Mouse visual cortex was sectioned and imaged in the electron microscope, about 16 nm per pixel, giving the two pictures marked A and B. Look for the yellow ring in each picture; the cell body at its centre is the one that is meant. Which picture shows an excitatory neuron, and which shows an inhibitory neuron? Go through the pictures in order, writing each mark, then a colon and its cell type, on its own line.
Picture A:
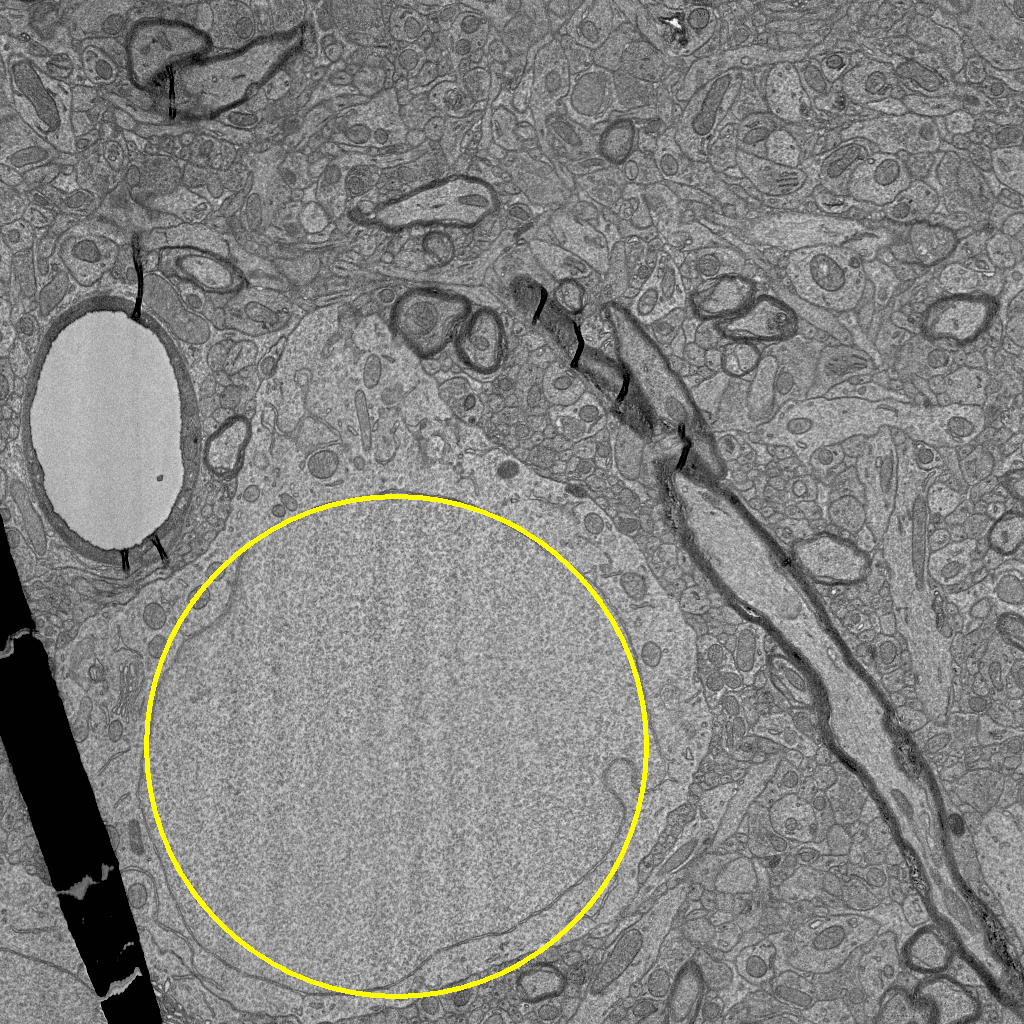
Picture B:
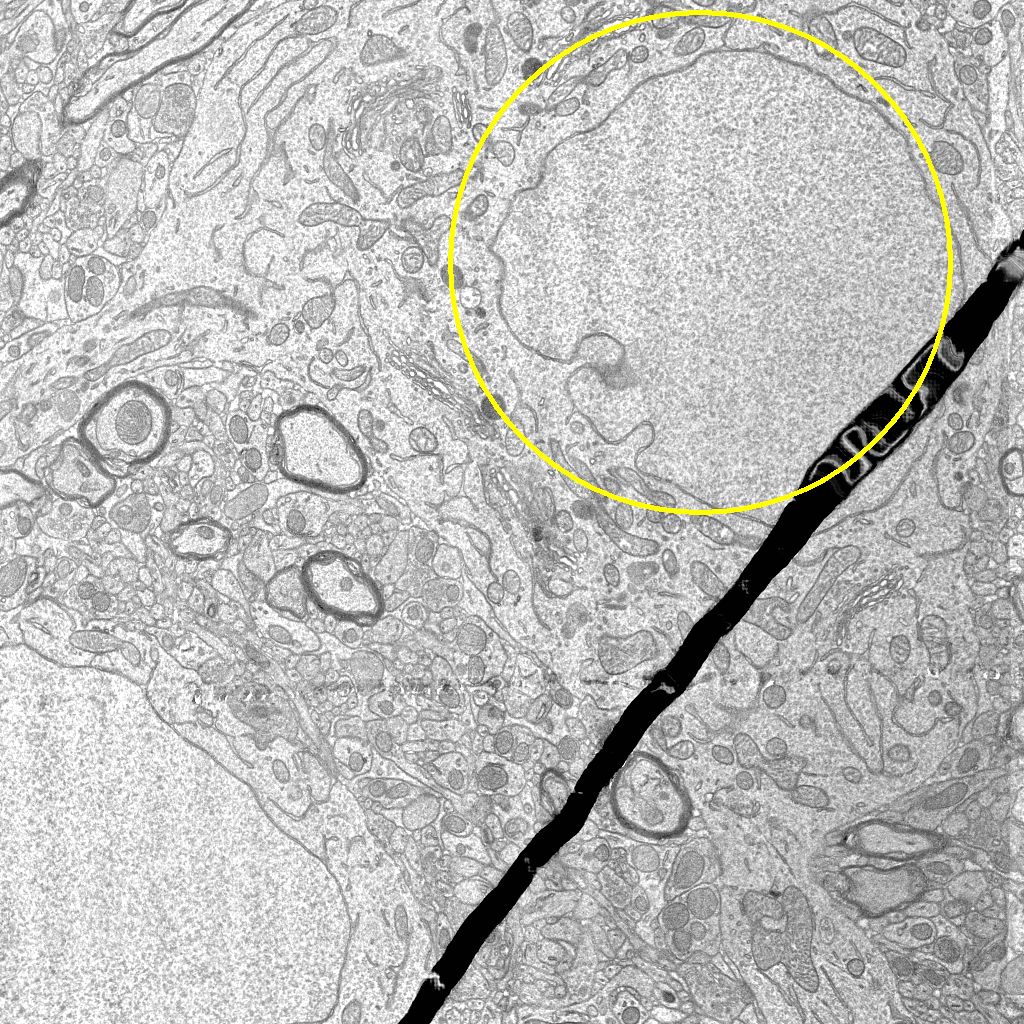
A: excitatory neuron
B: inhibitory neuron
